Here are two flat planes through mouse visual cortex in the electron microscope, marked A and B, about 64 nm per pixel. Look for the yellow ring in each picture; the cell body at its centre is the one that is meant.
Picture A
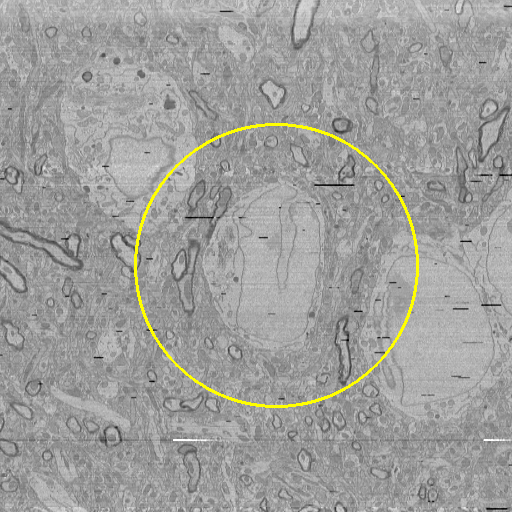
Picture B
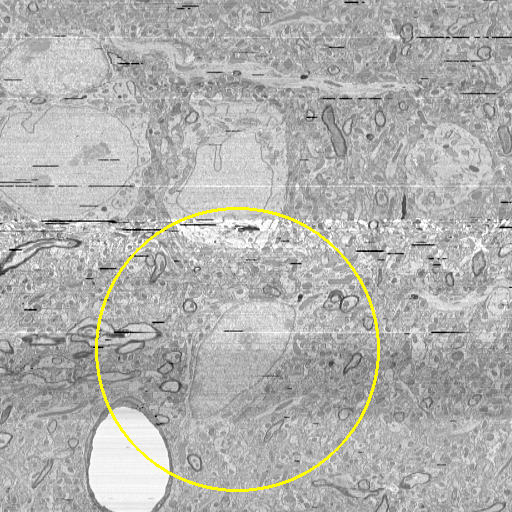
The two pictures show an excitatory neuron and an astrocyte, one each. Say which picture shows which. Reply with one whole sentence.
The cell in picture A is an excitatory neuron, and the one in picture B is an astrocyte.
